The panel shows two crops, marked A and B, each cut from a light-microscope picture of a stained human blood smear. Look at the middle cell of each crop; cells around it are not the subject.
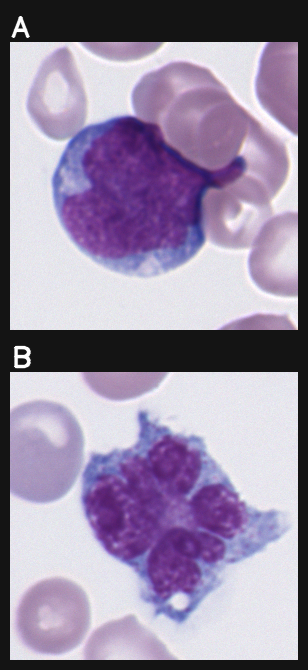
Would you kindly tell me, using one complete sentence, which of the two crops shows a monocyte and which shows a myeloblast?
Okay, so crop A is a myeloblast and crop B is a monocyte.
